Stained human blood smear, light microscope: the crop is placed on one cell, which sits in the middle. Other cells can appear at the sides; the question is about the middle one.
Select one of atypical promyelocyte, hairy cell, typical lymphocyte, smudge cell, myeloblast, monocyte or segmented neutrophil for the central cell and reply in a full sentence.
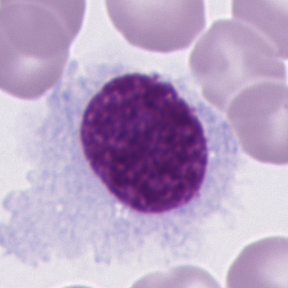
The cell at the middle of the crop is recognized as a hairy cell.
